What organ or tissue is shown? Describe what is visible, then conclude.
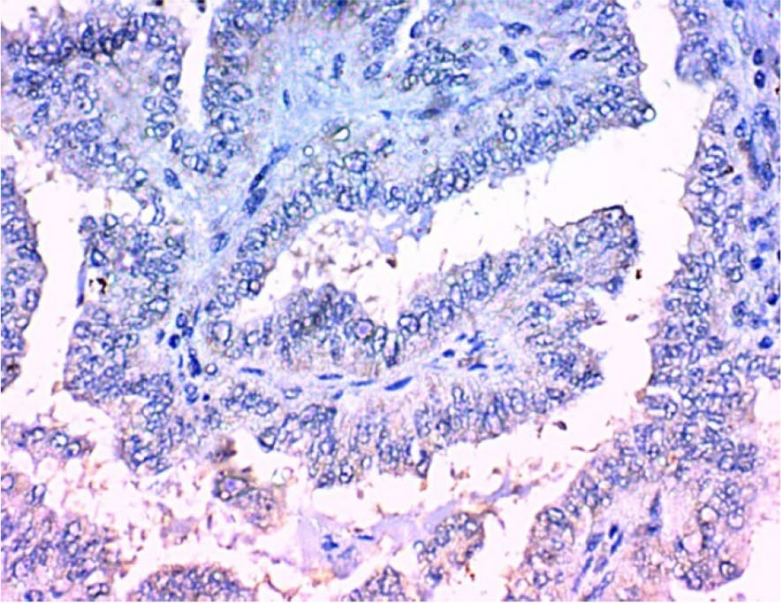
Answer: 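Papillary thyroid carcinoma. Epithelial fronds surround thin stromal cores with elongated nuclei. Nuclei are crowded, oval and overlapping, with pale, cleared chromatin.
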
